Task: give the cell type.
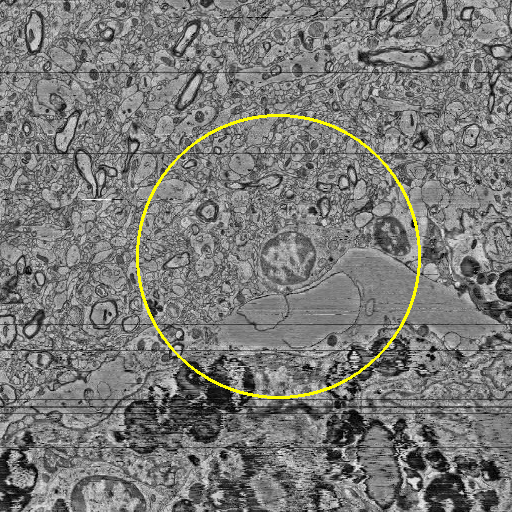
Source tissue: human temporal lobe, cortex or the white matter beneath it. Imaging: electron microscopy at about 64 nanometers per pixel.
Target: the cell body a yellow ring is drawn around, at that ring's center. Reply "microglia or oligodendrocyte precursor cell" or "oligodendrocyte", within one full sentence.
In this picture, the cell whose body lies at the ring's center is an oligodendrocyte.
